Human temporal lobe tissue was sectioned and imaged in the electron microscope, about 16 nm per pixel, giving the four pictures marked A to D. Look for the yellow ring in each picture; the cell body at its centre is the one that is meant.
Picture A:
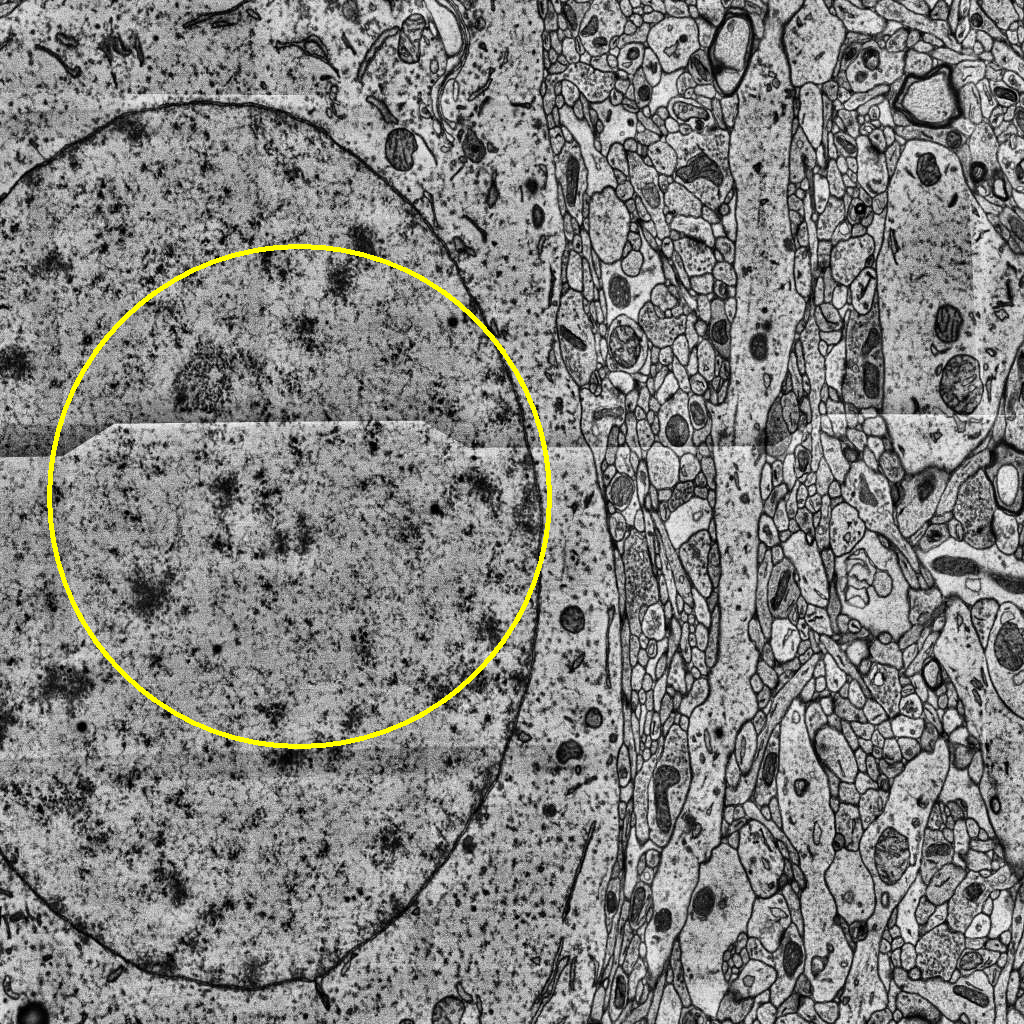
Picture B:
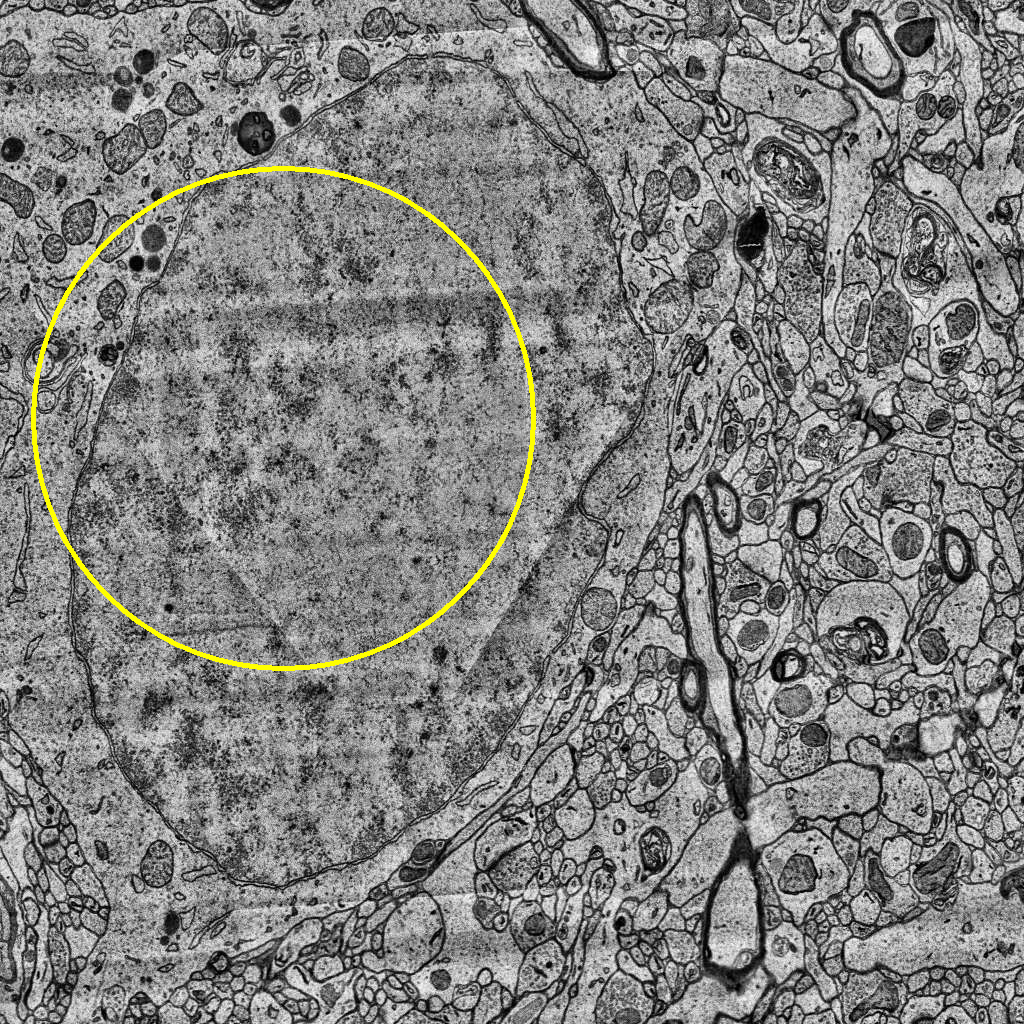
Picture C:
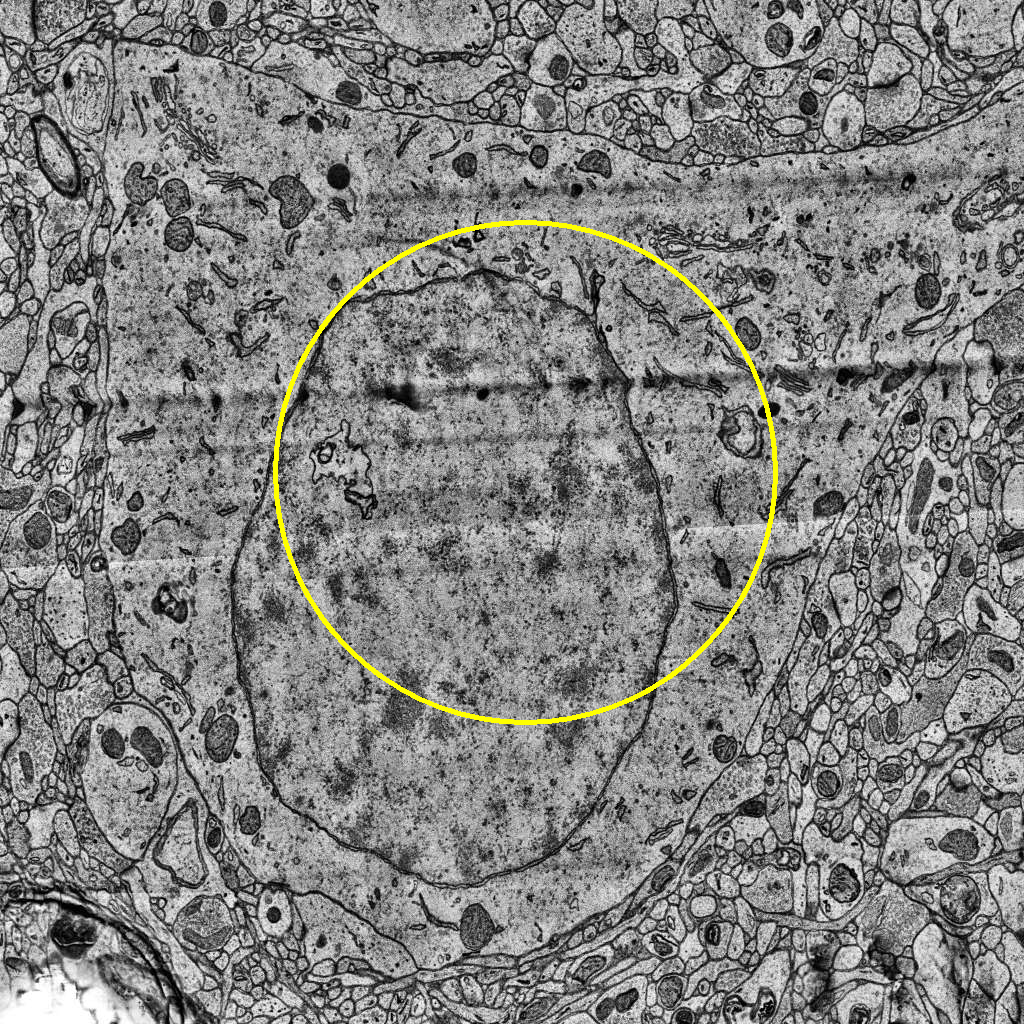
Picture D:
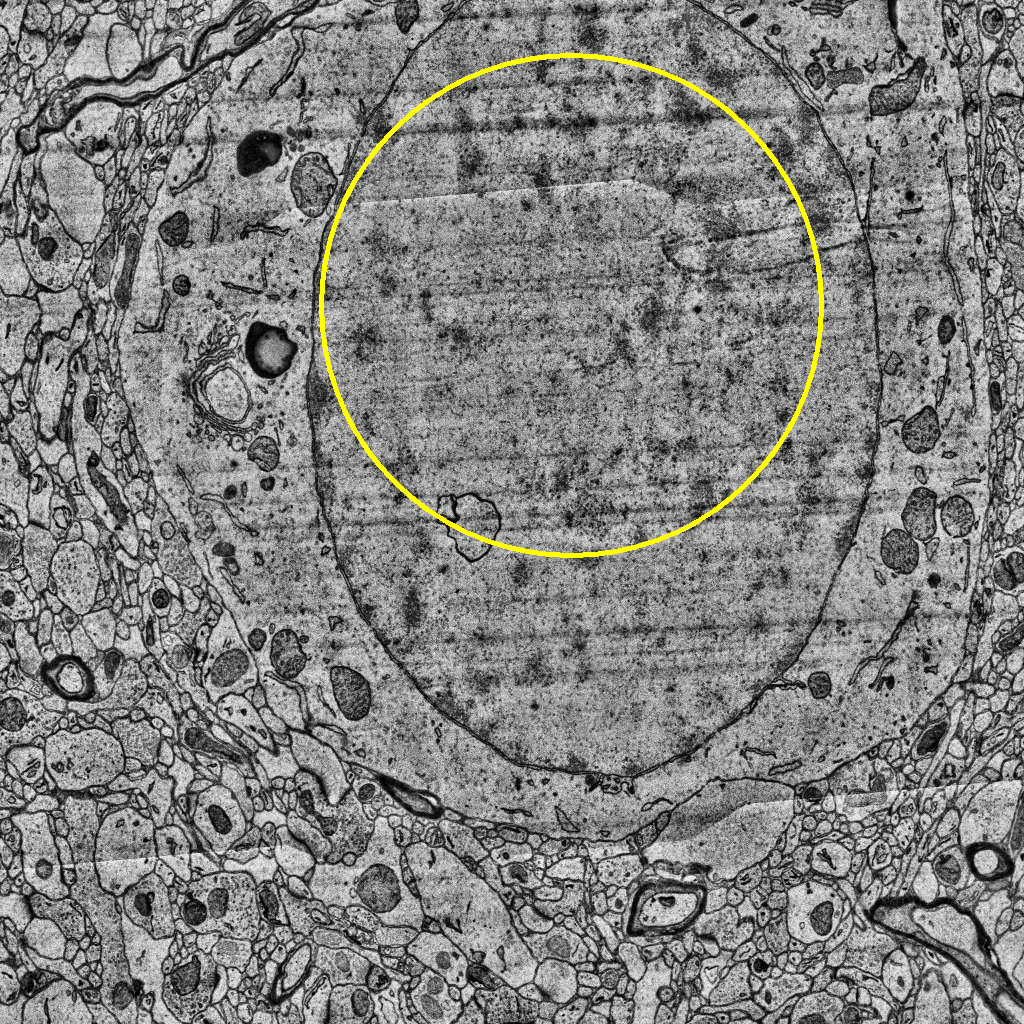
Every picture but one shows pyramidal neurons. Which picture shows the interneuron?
The cell in picture B is the interneuron.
